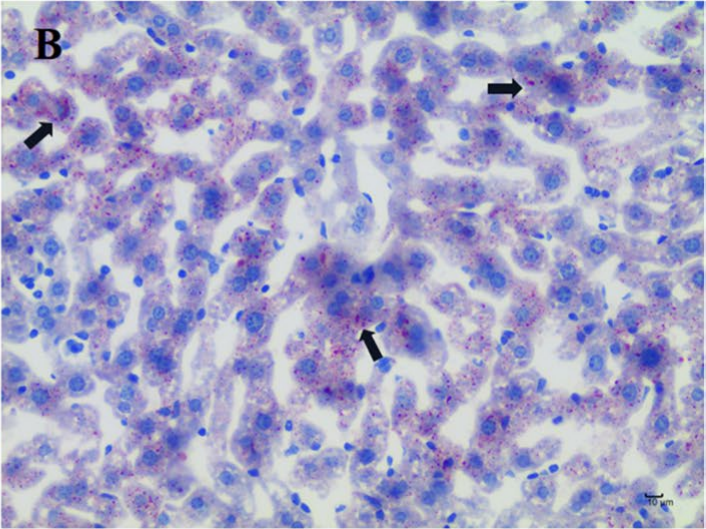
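Liver tissue with hepatocytes in cords separated by clear sinusoidal spaces. Hepatocytes are polygonal with round, blue, centrally placed nuclei and visible nucleoli; occasional cells are binucleate. Their pale cytoplasm carries many small, discrete red droplets scattered throughout the field, in places clustered densely in groups of cells, giving those areas a purplish-red cast. Small dark, elongated nuclei along the sinusoid walls belong to lining cells. The cords look somewhat irregular, with wide clear spaces between them.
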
